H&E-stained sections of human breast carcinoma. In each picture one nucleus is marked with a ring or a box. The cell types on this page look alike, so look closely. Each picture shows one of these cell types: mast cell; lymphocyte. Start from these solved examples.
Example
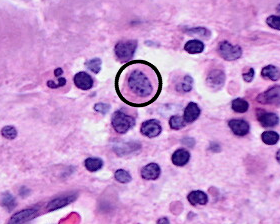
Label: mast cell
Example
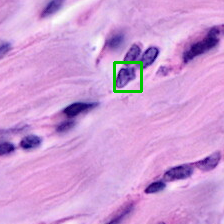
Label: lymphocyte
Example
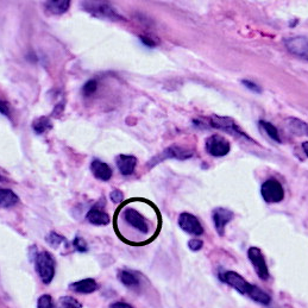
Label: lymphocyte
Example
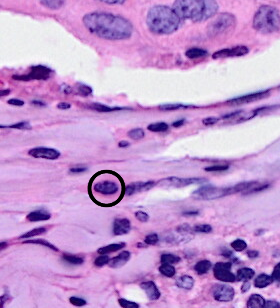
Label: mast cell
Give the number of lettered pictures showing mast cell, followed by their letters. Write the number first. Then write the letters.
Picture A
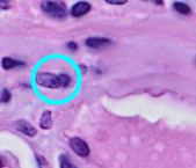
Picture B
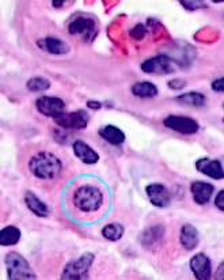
1, namely B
